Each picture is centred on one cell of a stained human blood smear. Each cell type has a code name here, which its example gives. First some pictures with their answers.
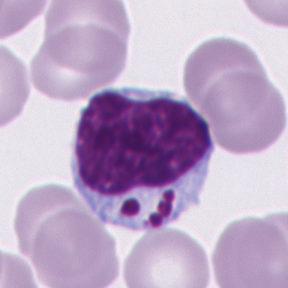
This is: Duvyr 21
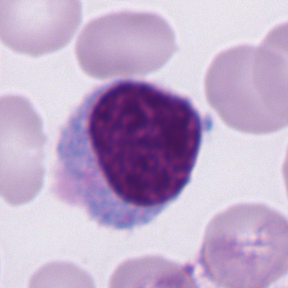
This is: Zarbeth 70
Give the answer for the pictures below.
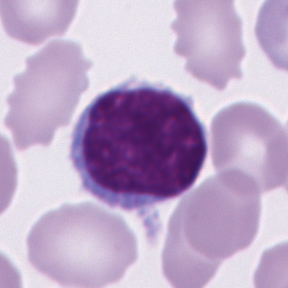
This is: Zarbeth 70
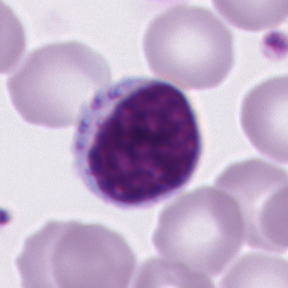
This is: Duvyr 21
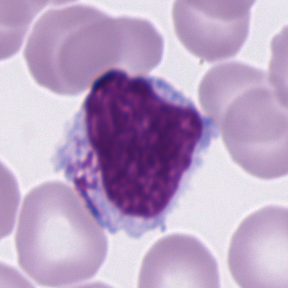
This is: Duvyr 21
